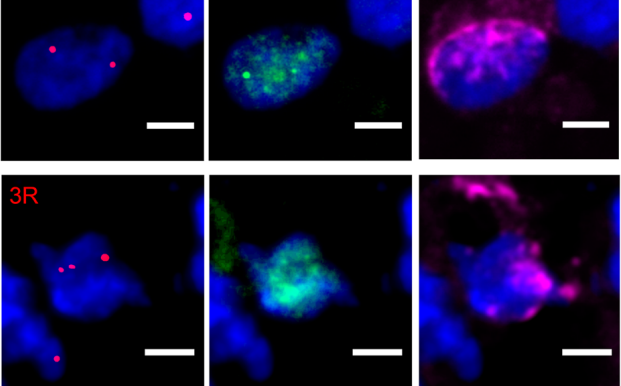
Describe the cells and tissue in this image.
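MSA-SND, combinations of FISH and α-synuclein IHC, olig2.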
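Small glial cells, oligodendrocytes, are each shown in three matching views. Bright red dots lie in the nucleus, two in the upper cell and three in the lower. The green view shows a speckled signal filling the nucleus. In the magenta view dense staining forms a crescent or ring closely wrapping the upper nucleus, while in the lower cell magenta clumps sit against a smaller, irregular nucleus, marking cytoplasmic inclusions.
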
